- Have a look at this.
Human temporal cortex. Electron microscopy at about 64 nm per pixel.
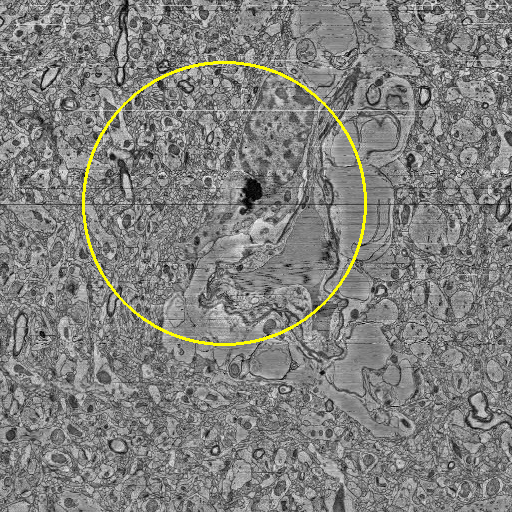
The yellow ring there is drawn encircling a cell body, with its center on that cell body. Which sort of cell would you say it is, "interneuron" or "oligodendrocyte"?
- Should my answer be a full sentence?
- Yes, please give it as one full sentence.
For this picture, an oligodendrocyte is the cell where the yellow ring has its center.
